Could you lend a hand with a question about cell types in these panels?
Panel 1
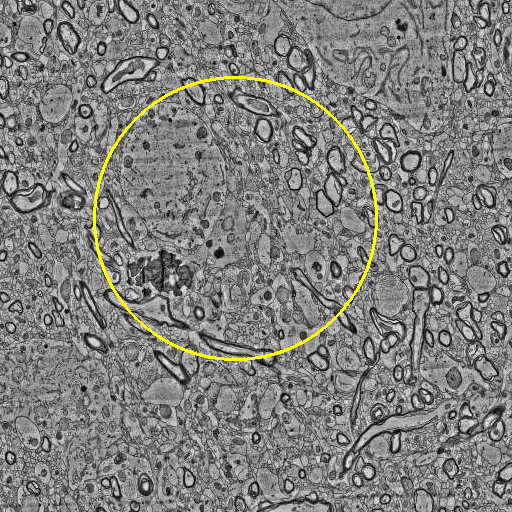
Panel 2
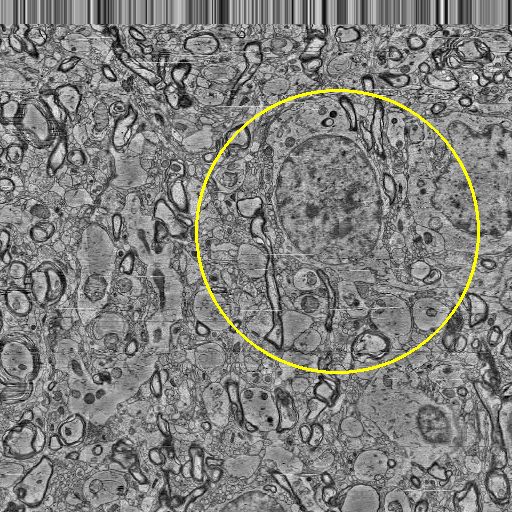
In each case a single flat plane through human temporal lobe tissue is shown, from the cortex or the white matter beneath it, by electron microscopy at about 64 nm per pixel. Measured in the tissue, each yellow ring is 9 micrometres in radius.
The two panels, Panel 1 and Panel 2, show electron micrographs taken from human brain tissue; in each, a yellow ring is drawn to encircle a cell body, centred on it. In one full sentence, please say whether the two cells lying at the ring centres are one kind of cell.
No, the cells at the ring centres in the two panels are two kinds of cell.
